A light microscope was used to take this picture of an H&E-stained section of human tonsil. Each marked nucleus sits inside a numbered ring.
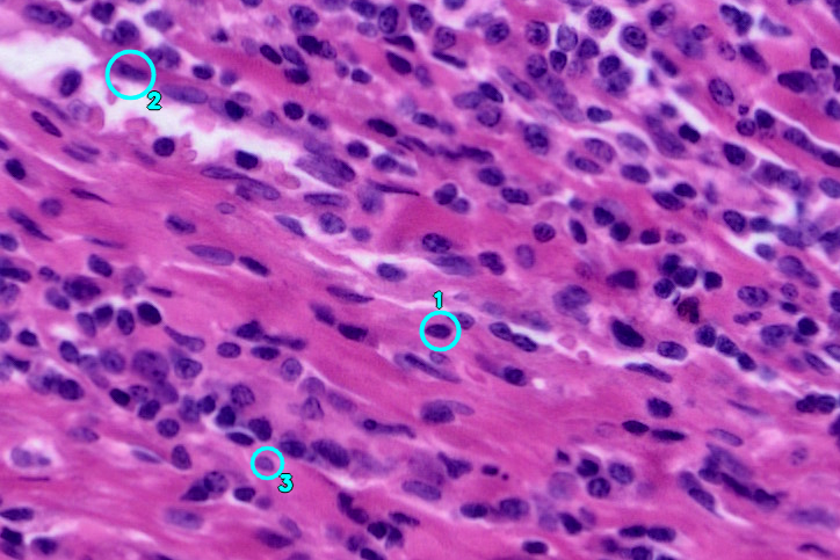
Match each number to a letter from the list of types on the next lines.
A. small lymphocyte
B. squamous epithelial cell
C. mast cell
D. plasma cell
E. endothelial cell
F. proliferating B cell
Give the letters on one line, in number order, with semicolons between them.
C; E; C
